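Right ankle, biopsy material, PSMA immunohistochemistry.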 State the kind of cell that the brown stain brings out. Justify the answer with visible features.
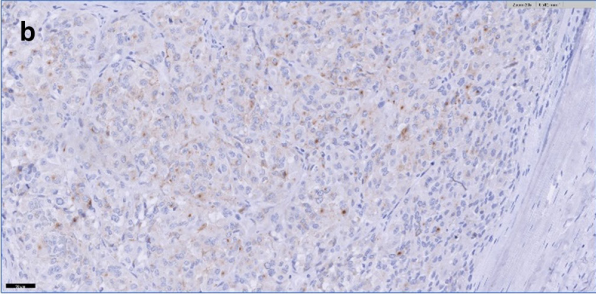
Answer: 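Fine brown dots lie in the cytoplasm of many of the densely packed, atypical cells. The stained cells form a sheet of crowded cells with large nuclei, unlike the pale fibrous band at the right edge. On this evidence: tumour cells.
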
